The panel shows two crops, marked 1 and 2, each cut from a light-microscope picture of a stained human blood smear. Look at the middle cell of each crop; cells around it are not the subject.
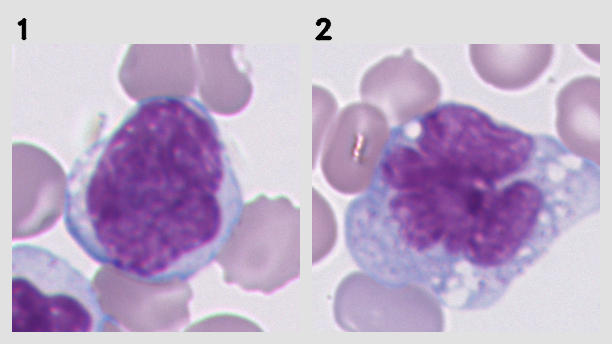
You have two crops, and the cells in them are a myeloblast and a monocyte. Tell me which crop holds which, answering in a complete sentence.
Recognised in crop 1 is a myeloblast, and recognised in crop 2 is a monocyte.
